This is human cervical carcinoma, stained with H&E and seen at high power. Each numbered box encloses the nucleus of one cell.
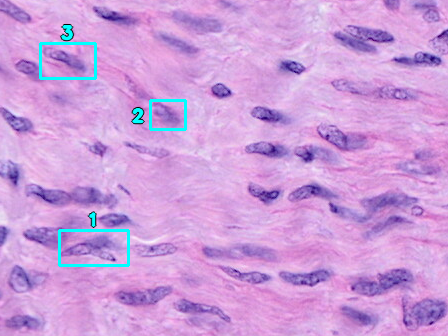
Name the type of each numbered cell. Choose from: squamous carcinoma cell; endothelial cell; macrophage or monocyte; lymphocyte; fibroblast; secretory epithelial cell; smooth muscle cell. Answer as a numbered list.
1. fibroblast
2. smooth muscle cell
3. smooth muscle cell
